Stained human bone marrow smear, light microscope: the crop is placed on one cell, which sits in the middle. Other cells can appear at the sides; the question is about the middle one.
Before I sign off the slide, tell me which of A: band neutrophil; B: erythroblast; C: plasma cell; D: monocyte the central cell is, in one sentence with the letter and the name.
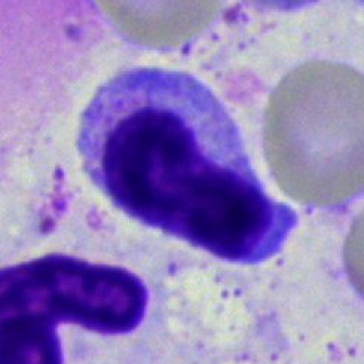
The correct option, A, names the middle cell as a band neutrophil.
